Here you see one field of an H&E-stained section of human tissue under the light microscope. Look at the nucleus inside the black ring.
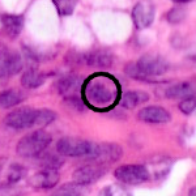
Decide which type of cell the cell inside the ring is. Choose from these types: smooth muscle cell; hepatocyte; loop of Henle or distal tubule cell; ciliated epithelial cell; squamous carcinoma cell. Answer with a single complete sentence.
As to its cell type, the cell inside the ring is a ciliated epithelial cell.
